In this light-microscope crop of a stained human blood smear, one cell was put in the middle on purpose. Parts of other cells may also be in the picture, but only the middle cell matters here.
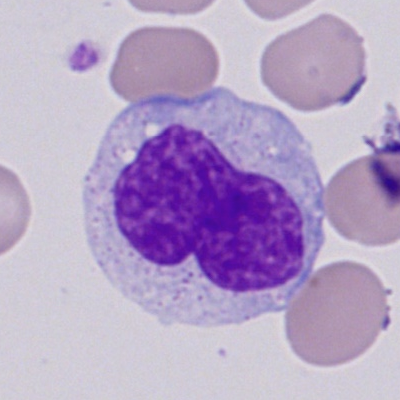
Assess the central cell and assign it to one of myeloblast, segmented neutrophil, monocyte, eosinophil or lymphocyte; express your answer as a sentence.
The cell that lies at the centre of the crop is a monocyte.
